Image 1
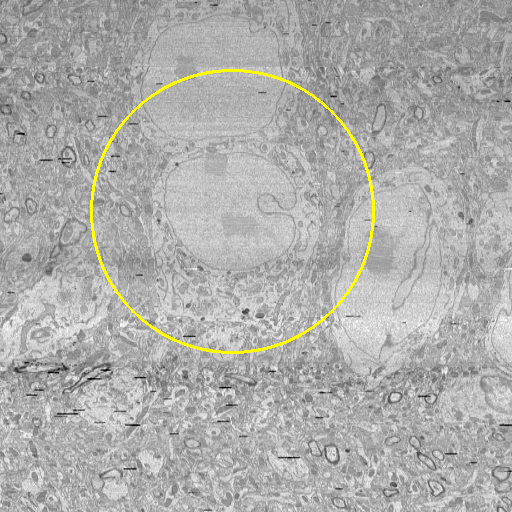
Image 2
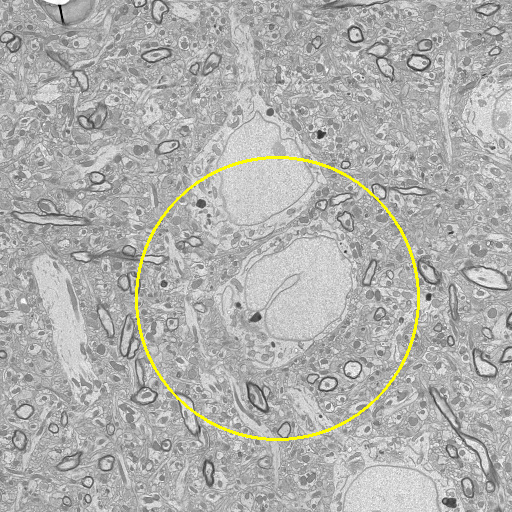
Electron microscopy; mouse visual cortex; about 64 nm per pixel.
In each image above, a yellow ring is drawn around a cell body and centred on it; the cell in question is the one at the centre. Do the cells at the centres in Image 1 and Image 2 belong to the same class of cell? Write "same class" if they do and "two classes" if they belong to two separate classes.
same class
